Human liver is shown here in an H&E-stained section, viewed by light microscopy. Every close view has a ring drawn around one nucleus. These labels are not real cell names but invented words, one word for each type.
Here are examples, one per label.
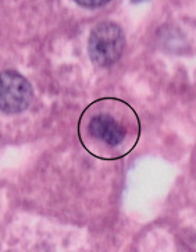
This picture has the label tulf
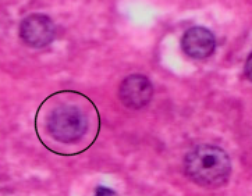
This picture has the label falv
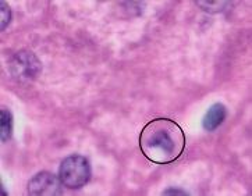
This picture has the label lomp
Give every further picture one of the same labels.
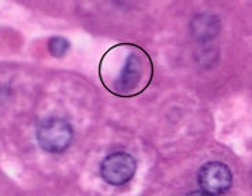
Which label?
lomp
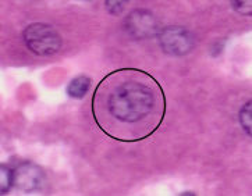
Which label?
falv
